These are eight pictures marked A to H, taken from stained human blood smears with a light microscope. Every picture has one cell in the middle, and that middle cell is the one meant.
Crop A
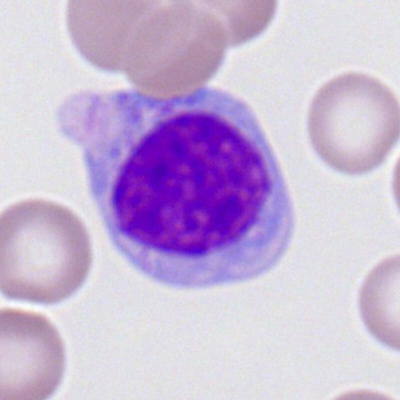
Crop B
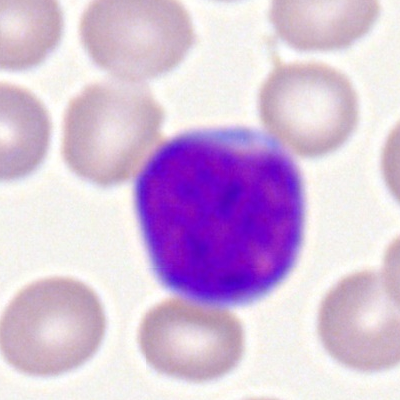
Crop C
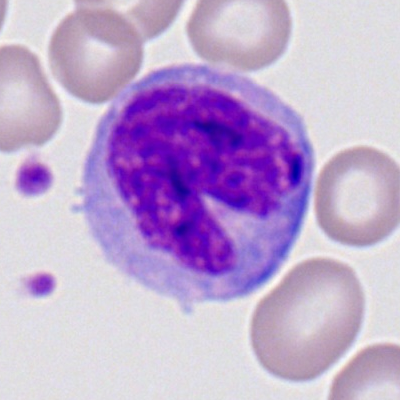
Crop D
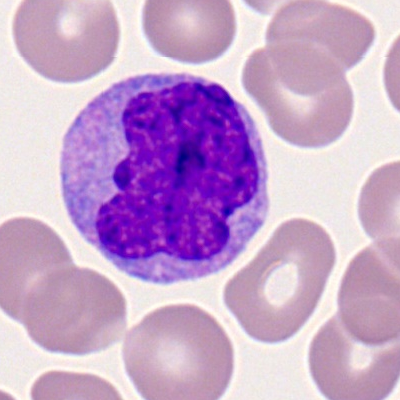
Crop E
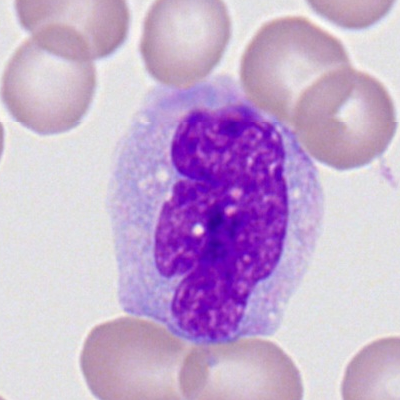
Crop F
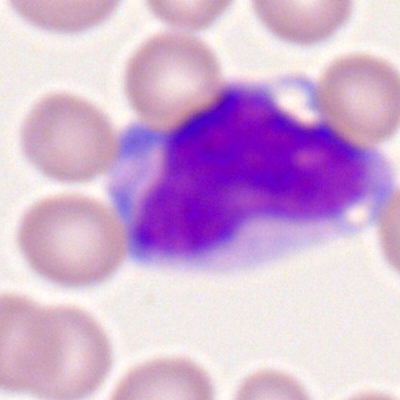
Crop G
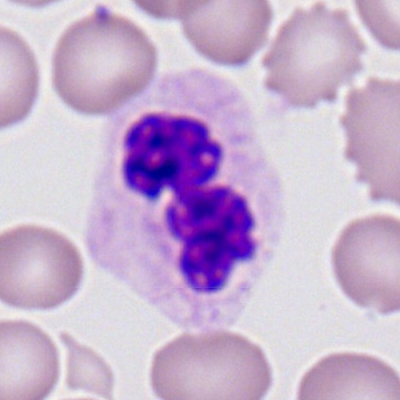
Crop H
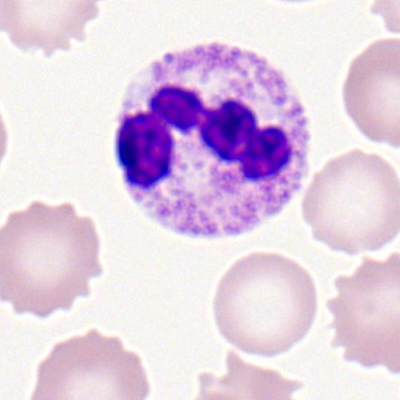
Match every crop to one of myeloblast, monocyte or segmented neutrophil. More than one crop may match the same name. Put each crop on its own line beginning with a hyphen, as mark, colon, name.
- A: monocyte
- B: myeloblast
- C: monocyte
- D: monocyte
- E: monocyte
- F: myeloblast
- G: segmented neutrophil
- H: segmented neutrophil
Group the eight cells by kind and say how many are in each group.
monocyte: 4
myeloblast: 2
segmented neutrophil: 2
